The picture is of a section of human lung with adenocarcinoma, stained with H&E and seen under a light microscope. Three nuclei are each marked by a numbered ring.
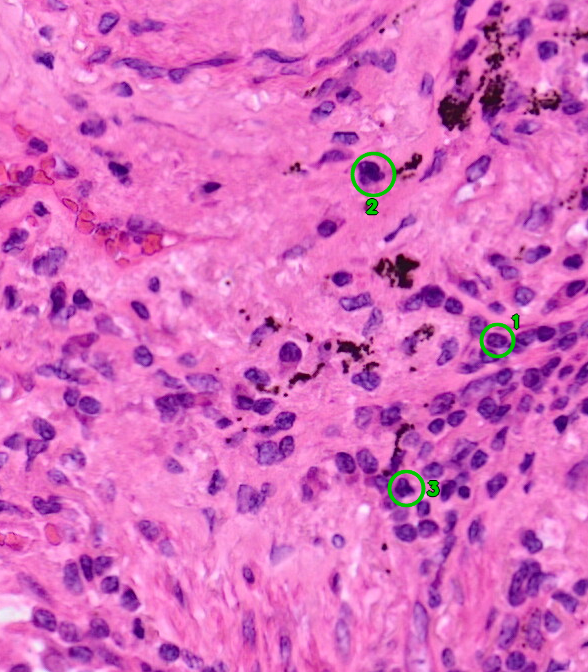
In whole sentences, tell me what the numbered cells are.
Cell 1 is a lymphocyte, cell 2 is a plasma cell and cell 3 is a lymphocyte.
